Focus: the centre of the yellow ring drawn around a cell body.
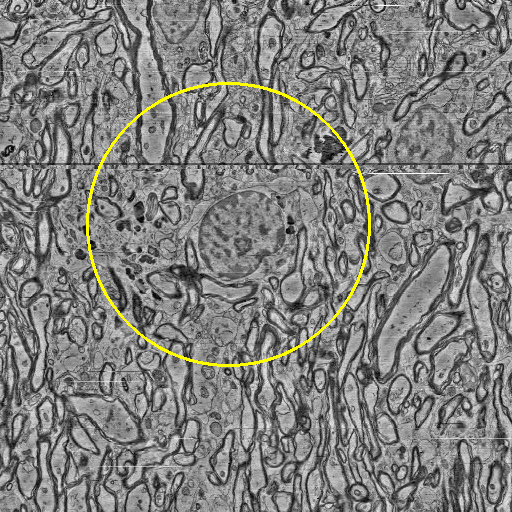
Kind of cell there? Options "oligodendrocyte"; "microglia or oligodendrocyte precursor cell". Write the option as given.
microglia or oligodendrocyte precursor cell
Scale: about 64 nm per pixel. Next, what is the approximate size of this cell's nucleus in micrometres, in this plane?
In this plane the nucleus measures roughly 7 by 6 micrometers.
